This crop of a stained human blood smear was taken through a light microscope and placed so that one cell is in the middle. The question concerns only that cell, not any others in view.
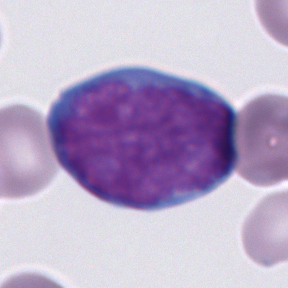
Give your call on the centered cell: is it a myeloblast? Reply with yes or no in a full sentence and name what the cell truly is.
Yes, the middle cell is properly termed a myeloblast.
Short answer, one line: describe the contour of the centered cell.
Nothing juts out from the margin, which is smooth throughout.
